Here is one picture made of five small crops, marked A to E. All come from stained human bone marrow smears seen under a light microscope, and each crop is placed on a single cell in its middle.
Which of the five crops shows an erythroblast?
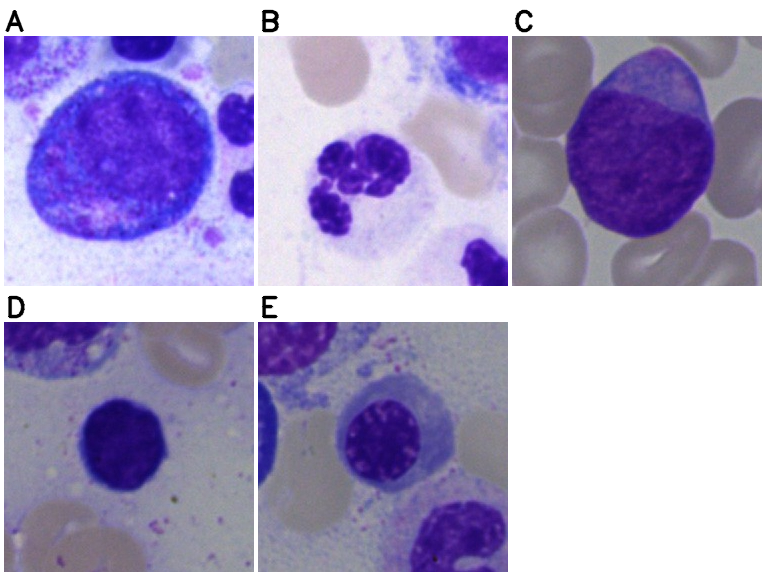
E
